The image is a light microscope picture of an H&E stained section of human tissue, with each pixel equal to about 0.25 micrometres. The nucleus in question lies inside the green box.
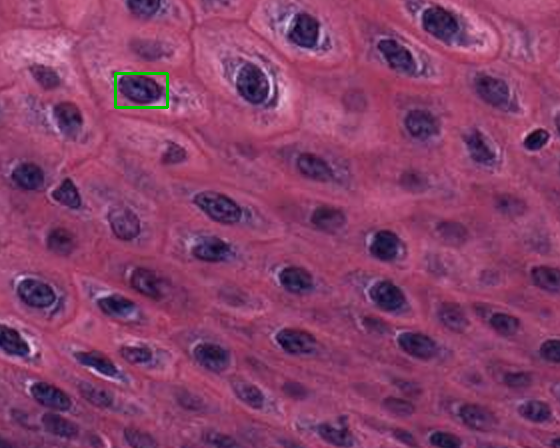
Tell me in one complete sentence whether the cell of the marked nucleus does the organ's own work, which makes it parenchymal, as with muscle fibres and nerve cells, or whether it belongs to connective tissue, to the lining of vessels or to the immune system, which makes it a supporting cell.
The nucleus marked here belongs to a parenchymal cell, namely a squamous epithelial cell.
